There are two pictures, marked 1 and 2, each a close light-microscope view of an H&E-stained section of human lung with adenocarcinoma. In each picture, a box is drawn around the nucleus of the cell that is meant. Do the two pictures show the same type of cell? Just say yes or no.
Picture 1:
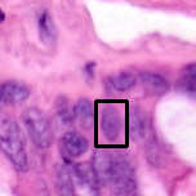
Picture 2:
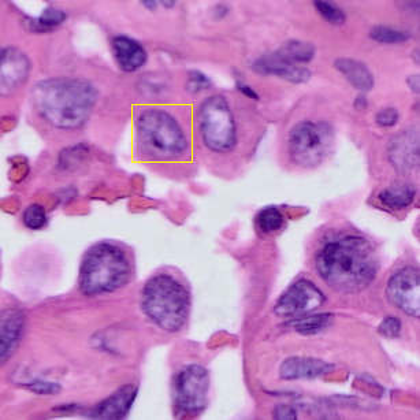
no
